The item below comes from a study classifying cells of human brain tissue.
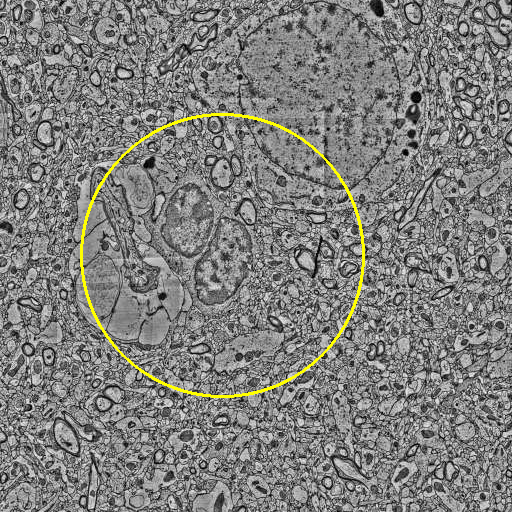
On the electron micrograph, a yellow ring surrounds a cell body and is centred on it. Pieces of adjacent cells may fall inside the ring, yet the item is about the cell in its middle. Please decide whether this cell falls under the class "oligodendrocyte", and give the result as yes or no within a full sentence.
Yes, the cell at the middle of the ring on the micrograph belongs in that class.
